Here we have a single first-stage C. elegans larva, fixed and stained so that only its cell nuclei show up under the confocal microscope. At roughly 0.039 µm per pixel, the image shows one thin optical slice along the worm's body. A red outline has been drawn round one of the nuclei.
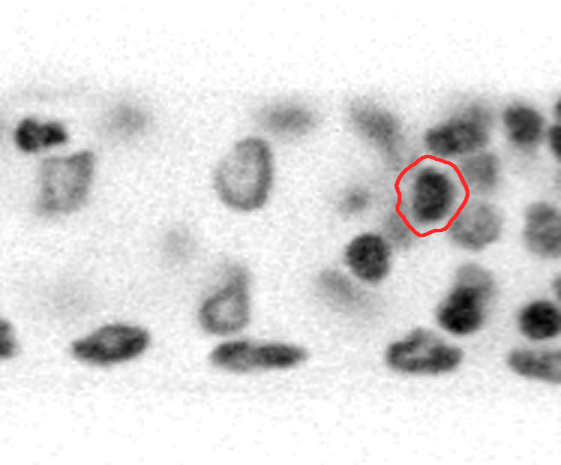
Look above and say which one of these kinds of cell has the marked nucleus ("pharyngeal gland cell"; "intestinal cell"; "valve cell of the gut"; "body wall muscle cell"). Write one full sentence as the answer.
This nucleus is from a pharyngeal gland cell.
